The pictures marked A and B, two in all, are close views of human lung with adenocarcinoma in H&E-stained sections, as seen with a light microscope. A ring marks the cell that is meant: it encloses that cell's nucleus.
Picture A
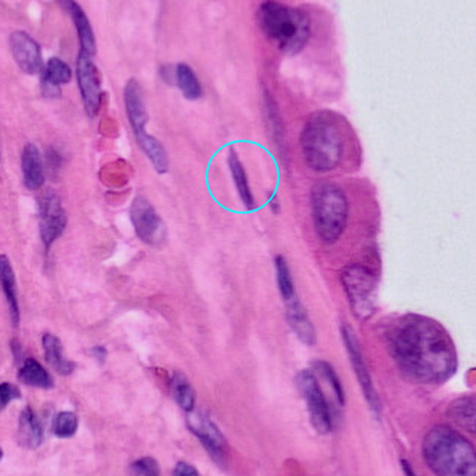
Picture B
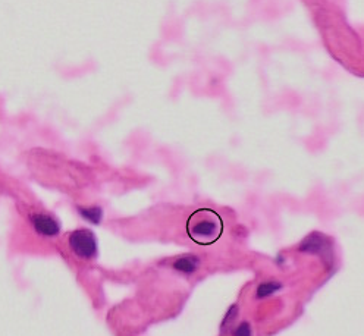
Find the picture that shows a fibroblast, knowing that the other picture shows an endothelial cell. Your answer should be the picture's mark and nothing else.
A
